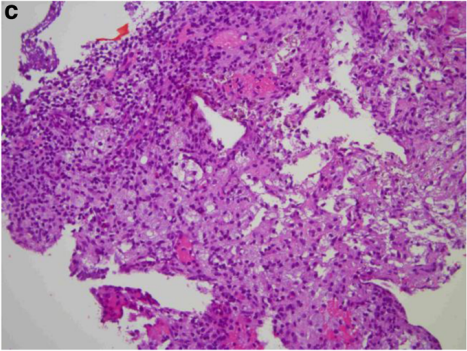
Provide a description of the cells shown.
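Much of the field is taken up by large cells with plentiful pale pink, bubbly-looking cytoplasm and small nuclei, lying in loose sheets. Among them, and especially toward the left edge, crowd many small cells with dark, round nuclei and little cytoplasm, the inflammatory component. Scattered pools of bright red blood cells and clefts where the fragile tissue has pulled apart complete the picture.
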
